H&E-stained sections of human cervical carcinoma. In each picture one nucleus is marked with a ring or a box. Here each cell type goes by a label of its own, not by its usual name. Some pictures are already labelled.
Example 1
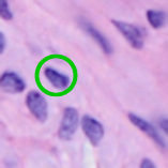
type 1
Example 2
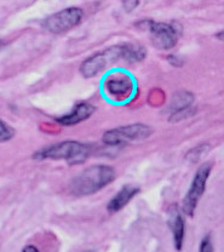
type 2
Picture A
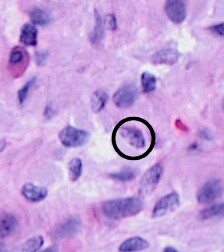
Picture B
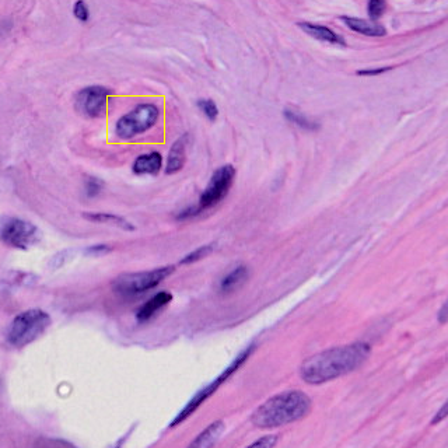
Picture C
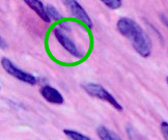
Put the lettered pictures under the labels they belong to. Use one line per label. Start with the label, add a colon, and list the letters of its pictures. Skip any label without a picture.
type 1: A, C
type 2: B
